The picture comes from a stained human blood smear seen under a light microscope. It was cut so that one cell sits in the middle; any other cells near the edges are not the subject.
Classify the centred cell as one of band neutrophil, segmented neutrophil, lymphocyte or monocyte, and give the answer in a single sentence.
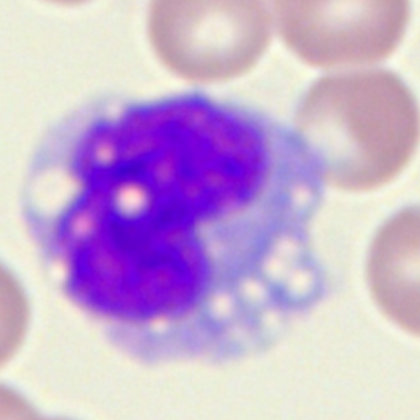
The cell at the centre of the field is a monocyte.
